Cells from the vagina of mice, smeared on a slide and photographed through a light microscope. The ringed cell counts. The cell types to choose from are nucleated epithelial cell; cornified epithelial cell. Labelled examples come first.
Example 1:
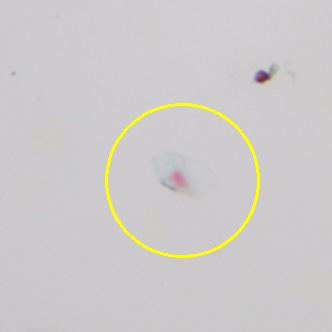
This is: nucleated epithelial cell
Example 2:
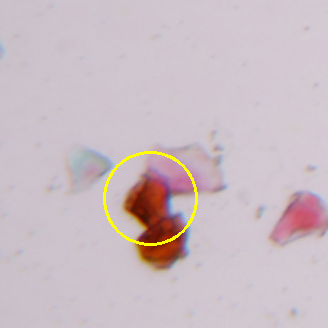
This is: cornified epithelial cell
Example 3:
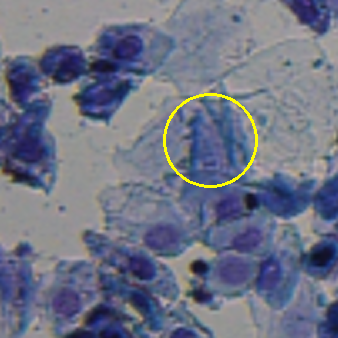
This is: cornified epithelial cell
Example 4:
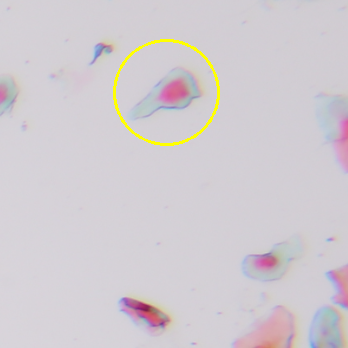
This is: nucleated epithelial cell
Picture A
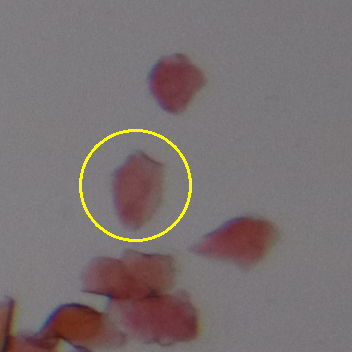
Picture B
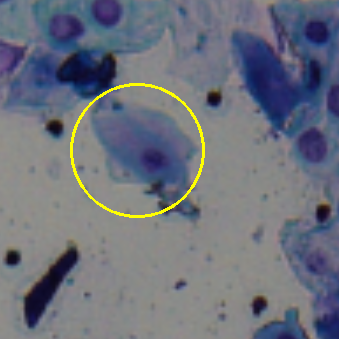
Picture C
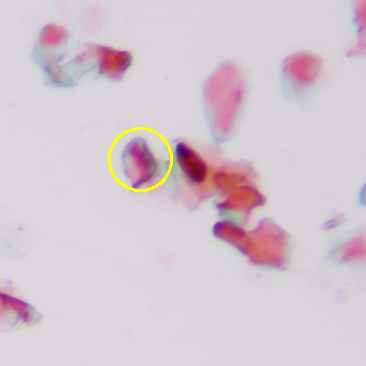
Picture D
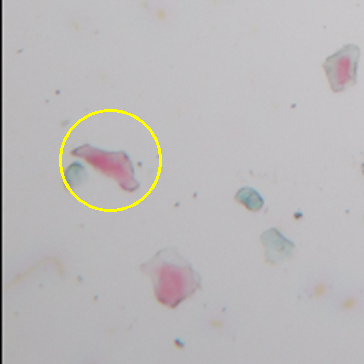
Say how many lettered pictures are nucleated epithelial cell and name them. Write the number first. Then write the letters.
1, namely B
